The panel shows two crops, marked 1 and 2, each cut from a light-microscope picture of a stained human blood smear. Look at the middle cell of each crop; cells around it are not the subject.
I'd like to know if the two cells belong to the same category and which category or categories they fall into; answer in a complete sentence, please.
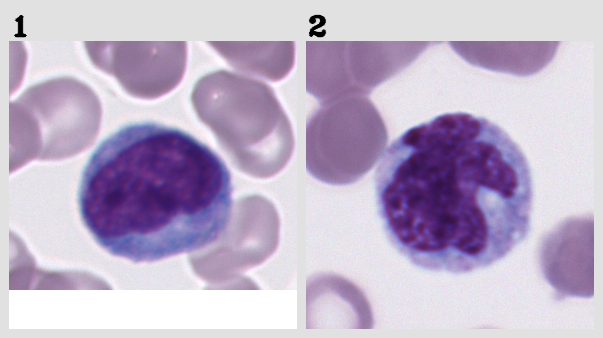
Yes, in both crops the centred cells are monocytes.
